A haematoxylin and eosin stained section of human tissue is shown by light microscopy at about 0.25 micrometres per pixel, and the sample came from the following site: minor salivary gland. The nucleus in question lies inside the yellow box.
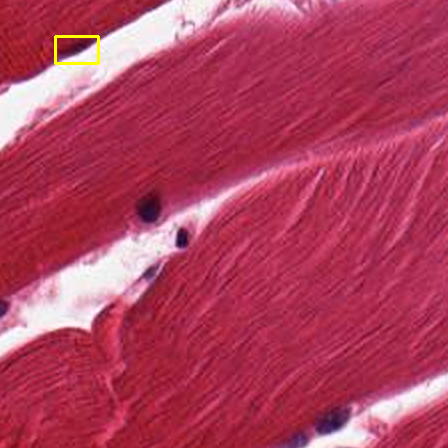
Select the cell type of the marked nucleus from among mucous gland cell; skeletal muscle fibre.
skeletal muscle fibre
